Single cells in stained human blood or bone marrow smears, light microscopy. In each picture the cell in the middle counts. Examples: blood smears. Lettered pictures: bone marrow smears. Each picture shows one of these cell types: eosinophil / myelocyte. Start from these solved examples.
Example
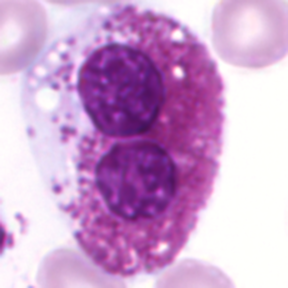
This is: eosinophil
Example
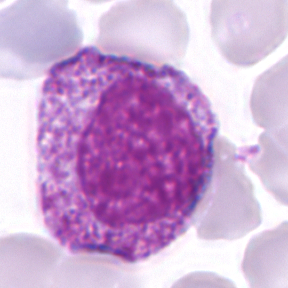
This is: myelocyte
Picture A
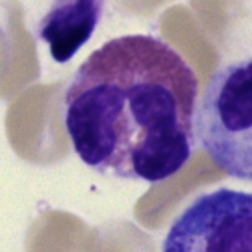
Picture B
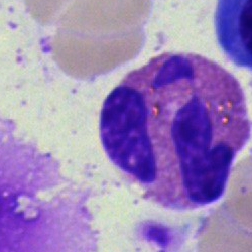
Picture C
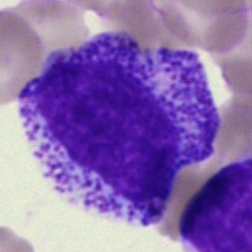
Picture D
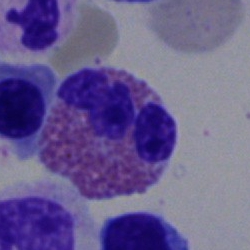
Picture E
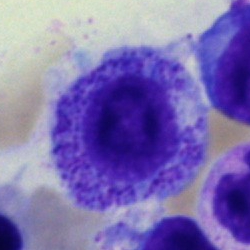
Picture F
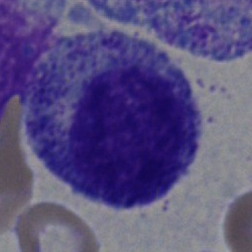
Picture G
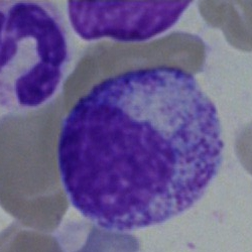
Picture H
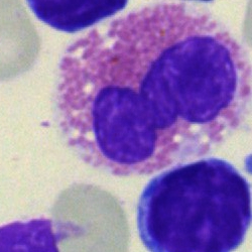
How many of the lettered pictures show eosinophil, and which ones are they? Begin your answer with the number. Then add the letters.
4: A, B, D, H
